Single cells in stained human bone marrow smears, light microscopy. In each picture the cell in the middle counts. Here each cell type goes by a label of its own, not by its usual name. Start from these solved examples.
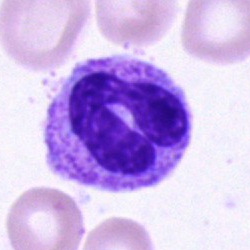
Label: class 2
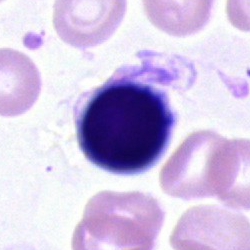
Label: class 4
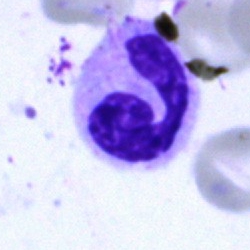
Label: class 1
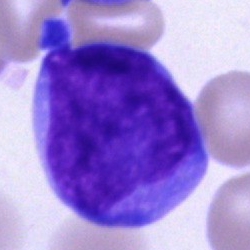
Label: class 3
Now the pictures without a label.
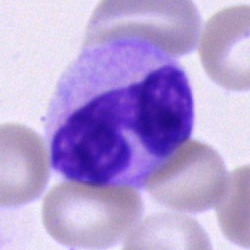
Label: class 2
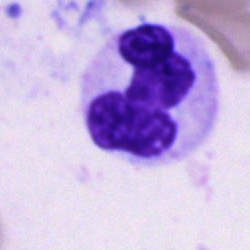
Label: class 1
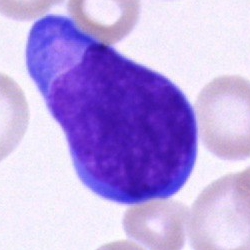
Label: class 3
